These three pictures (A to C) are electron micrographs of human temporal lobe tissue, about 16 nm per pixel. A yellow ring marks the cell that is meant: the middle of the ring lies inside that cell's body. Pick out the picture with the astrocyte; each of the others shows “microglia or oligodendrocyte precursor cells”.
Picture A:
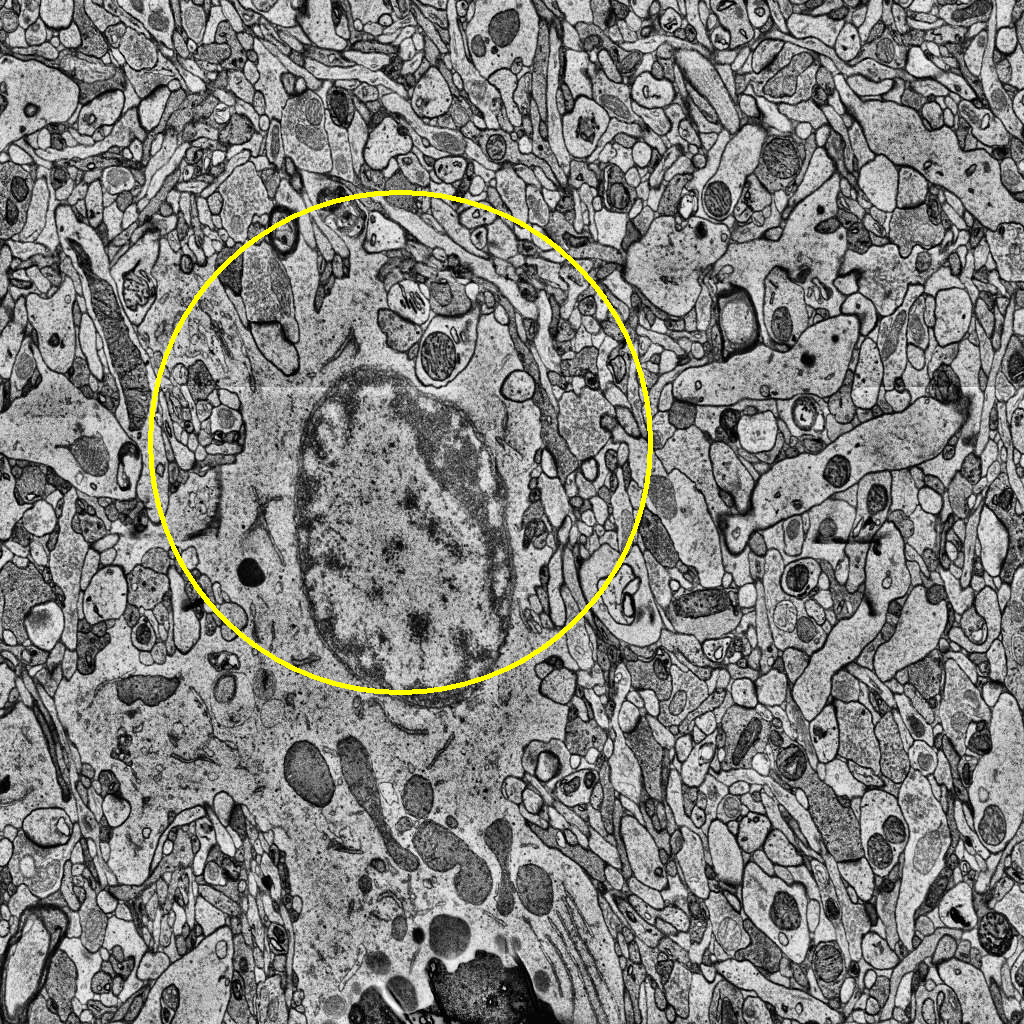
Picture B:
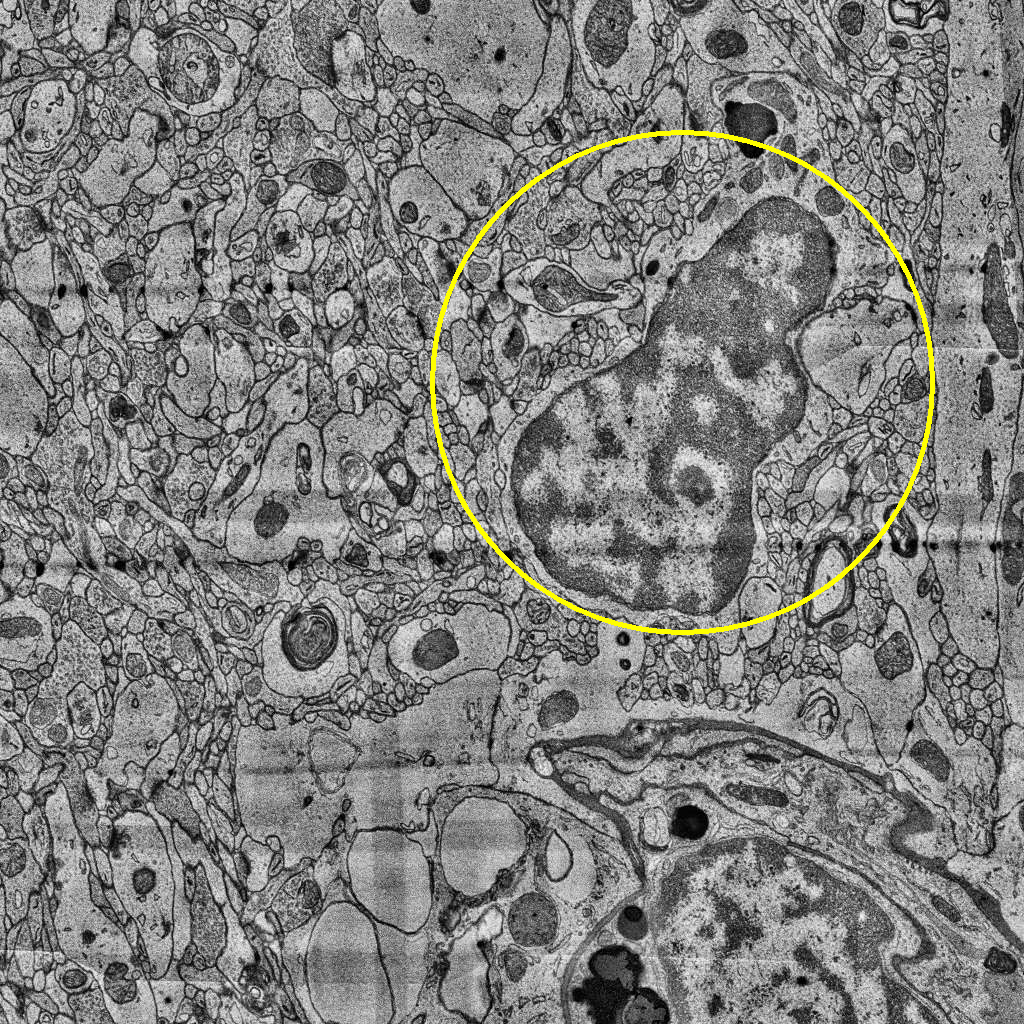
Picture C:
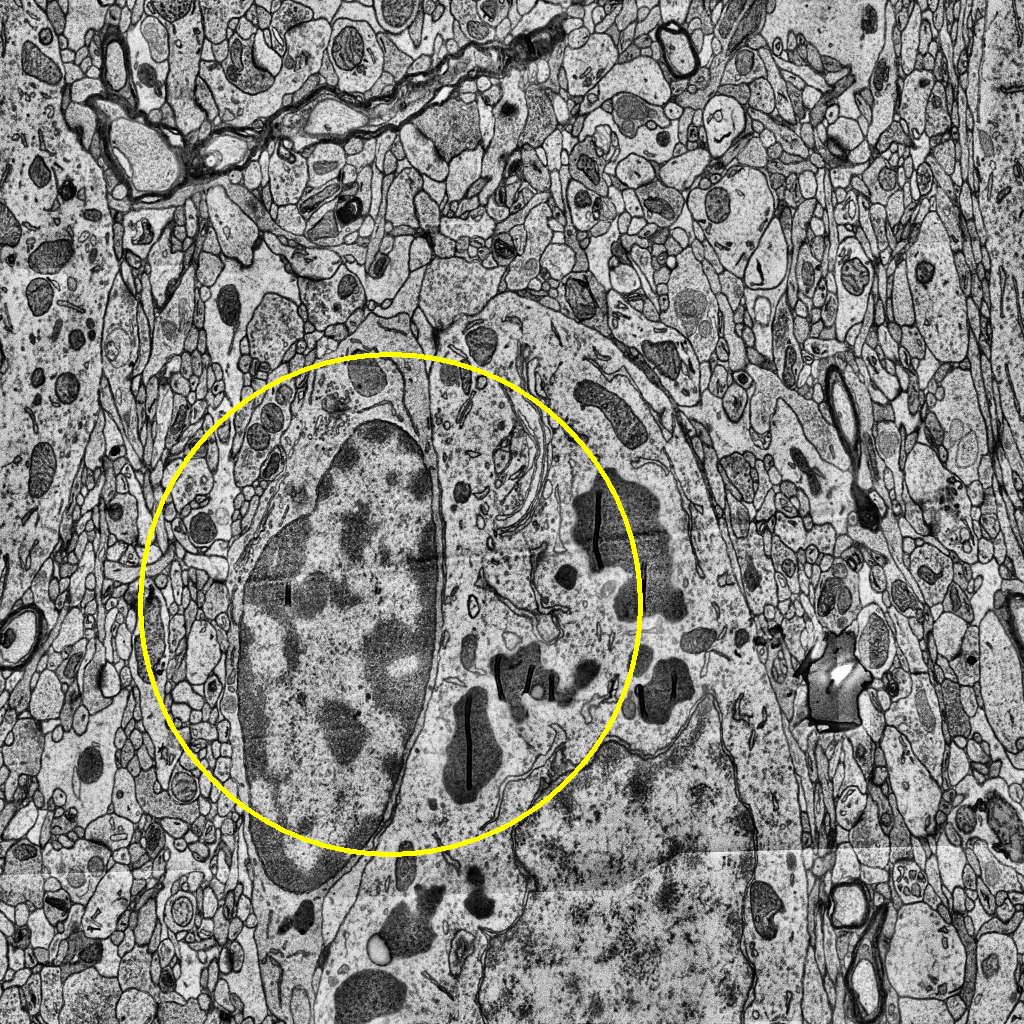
The picture with the astrocyte is A.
